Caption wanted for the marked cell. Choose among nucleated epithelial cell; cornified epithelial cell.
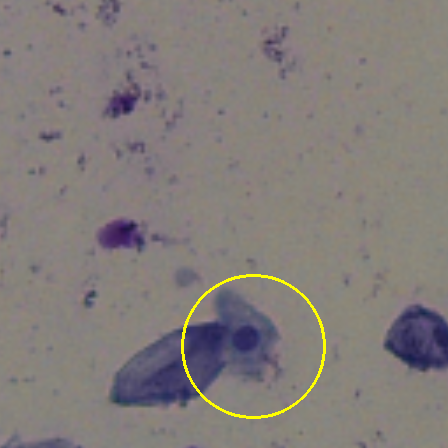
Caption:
Ringed in yellow is a nucleated epithelial cell.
